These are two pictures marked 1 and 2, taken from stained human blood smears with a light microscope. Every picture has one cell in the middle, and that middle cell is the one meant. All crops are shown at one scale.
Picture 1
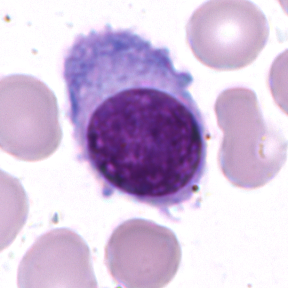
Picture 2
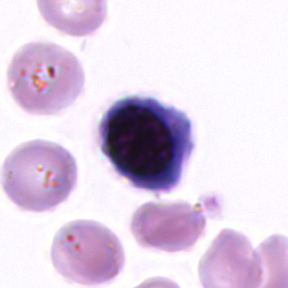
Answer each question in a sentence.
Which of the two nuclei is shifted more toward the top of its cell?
Seen within its cell, the nucleus in picture 2 lies further toward the top.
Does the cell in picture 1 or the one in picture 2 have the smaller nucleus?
It is the nucleus in picture 2; the one in picture 1 has about 2.5 times its area.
